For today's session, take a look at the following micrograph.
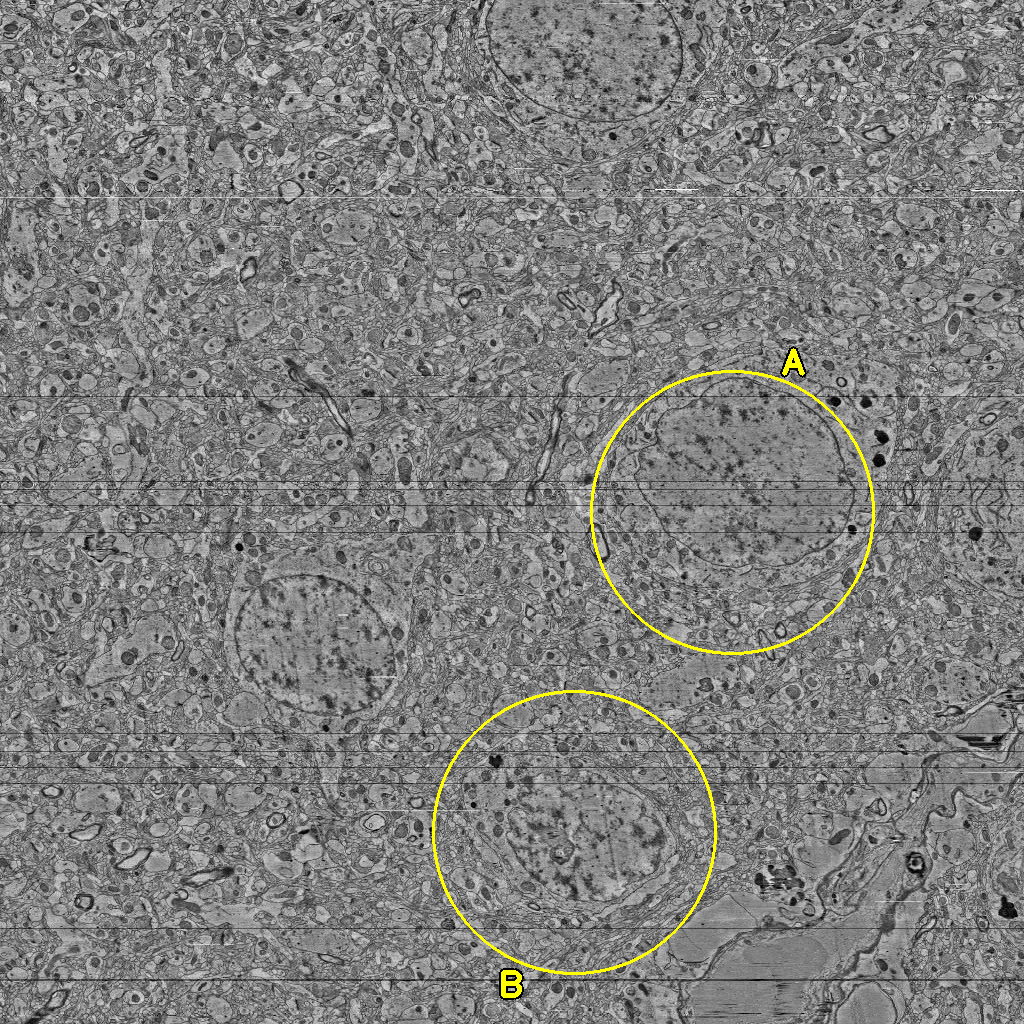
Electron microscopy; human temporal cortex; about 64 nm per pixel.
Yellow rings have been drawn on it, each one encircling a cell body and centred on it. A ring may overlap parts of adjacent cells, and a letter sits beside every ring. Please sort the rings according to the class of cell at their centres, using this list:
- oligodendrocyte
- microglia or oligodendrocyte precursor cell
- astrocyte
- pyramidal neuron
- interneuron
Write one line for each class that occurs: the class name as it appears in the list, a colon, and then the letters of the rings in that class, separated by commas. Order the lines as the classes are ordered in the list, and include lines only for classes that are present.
pyramidal neuron: A
interneuron: B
